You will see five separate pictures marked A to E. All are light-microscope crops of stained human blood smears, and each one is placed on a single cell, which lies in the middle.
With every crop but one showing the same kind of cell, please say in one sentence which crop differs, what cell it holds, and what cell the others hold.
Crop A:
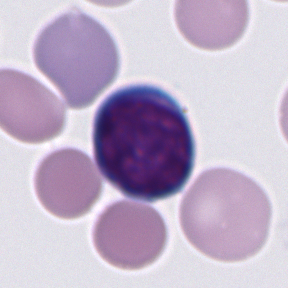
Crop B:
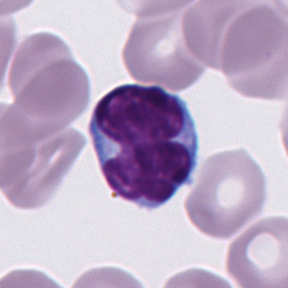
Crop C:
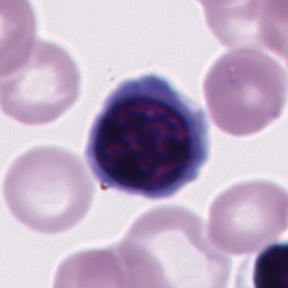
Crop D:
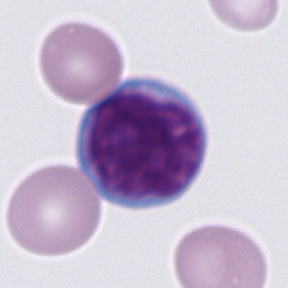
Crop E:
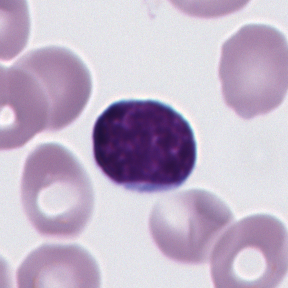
The exception is crop C, with a normoblast; the remaining crops all show typical lymphocytes.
